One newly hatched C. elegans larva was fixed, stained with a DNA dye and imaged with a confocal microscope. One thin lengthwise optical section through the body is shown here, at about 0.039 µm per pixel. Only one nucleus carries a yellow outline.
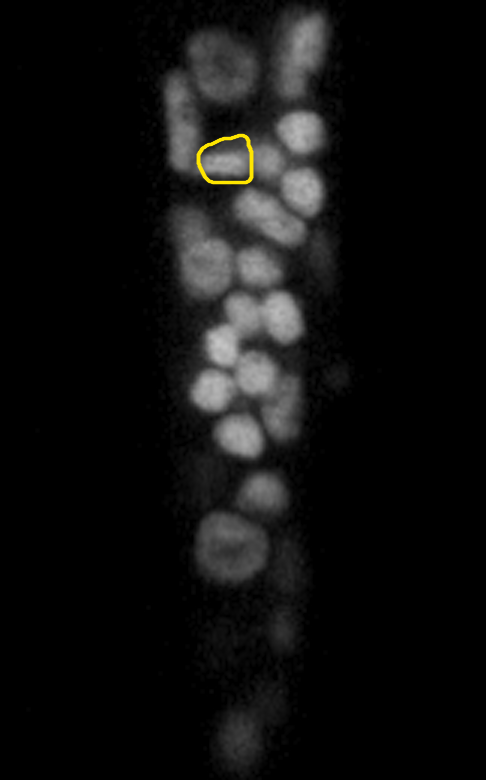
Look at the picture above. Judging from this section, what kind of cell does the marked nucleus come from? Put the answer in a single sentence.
The marked nucleus is that of a valve cell of the gut.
